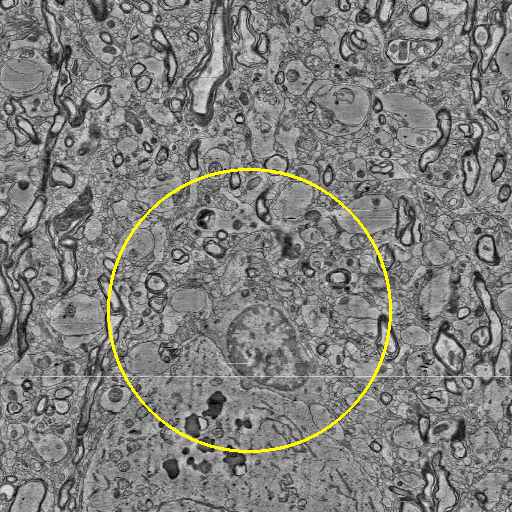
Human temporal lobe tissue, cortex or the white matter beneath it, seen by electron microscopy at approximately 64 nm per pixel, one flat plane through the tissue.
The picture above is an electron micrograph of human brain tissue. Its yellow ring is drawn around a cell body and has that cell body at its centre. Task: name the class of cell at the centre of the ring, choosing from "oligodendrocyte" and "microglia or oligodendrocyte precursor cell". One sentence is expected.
The ring surrounds the body of an oligodendrocyte.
